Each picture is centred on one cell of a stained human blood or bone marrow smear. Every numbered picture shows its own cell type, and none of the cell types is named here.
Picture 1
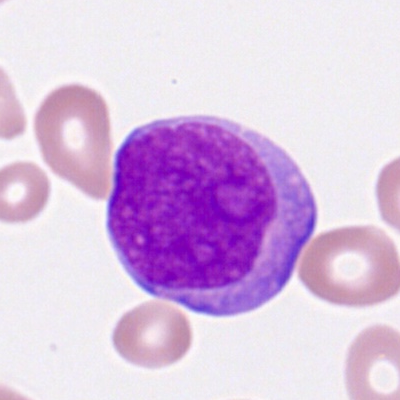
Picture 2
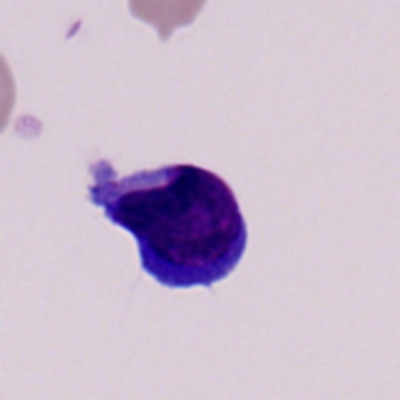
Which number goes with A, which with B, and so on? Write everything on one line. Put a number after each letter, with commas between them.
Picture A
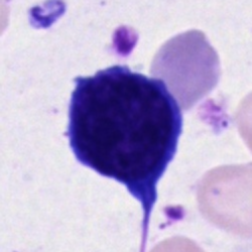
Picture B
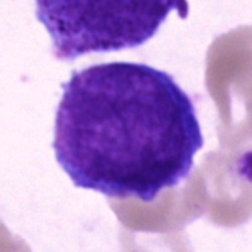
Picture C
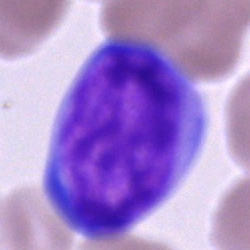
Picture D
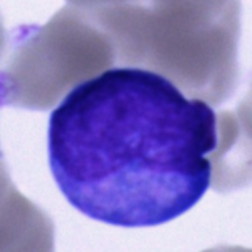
A 2, B 1, C 1, D 1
